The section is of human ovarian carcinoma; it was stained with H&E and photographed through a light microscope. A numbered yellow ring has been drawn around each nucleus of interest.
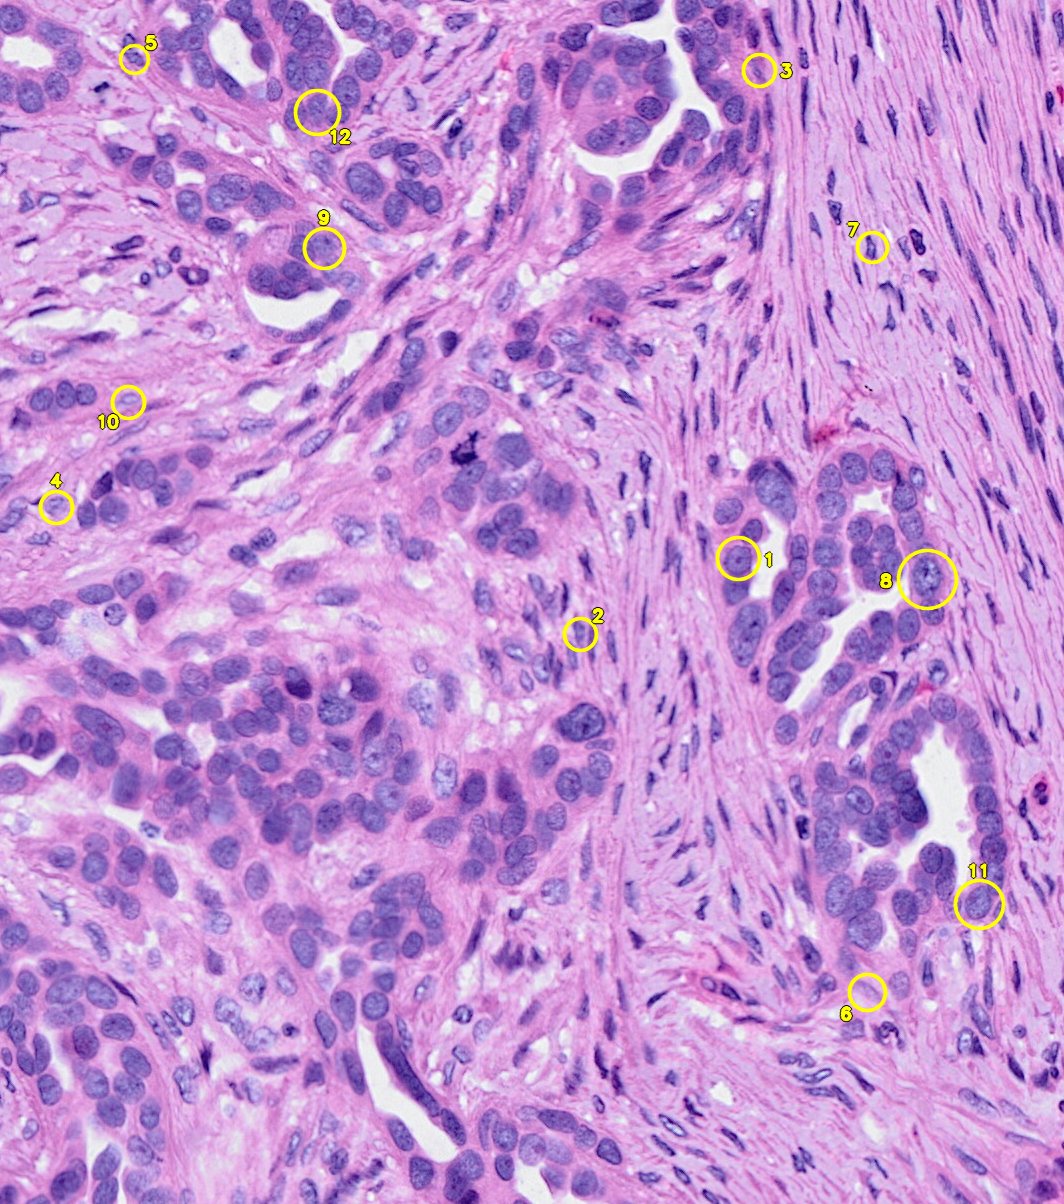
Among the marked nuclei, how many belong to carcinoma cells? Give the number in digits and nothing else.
5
